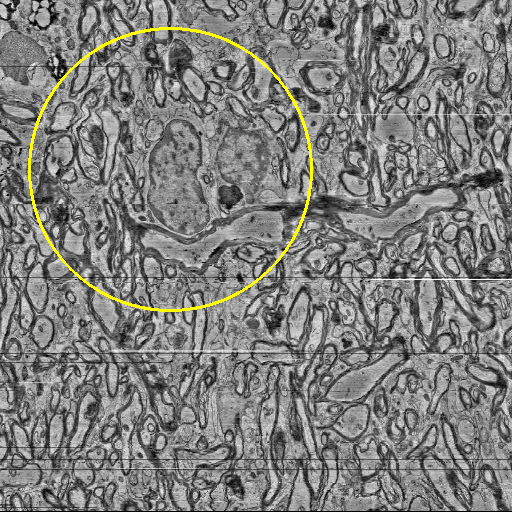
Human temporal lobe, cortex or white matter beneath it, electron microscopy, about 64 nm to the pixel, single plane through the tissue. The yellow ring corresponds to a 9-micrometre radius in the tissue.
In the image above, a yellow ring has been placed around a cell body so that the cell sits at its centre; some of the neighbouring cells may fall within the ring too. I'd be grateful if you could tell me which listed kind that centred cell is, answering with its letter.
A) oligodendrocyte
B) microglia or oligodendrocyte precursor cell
B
